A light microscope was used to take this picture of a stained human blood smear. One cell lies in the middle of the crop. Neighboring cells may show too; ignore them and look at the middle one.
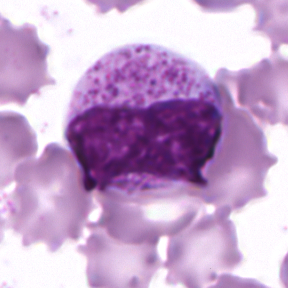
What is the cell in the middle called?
metamyelocyte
